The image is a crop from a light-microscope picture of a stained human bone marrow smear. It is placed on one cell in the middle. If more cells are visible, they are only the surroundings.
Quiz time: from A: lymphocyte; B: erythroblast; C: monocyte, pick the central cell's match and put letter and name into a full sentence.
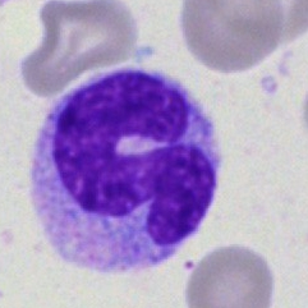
Option C correctly states that the central cell is a monocyte.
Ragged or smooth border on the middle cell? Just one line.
Worth noting that the cell border is smooth and lacks projections.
